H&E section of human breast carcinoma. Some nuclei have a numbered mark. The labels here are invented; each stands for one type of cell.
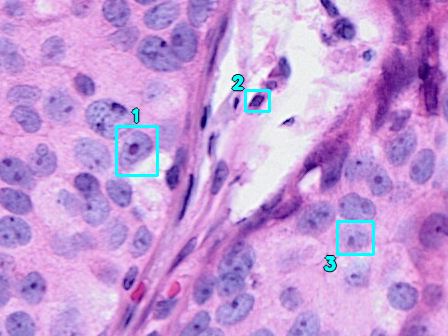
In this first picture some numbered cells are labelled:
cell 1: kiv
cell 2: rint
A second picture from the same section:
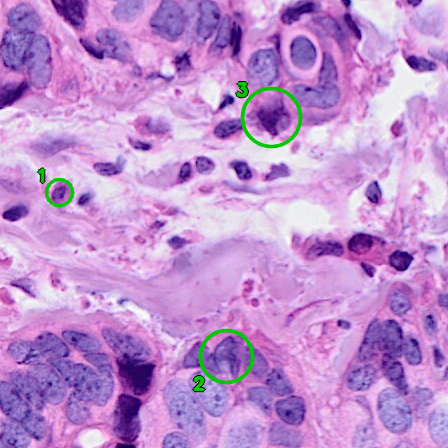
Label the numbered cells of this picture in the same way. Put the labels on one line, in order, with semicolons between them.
rint; kiv; kiv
